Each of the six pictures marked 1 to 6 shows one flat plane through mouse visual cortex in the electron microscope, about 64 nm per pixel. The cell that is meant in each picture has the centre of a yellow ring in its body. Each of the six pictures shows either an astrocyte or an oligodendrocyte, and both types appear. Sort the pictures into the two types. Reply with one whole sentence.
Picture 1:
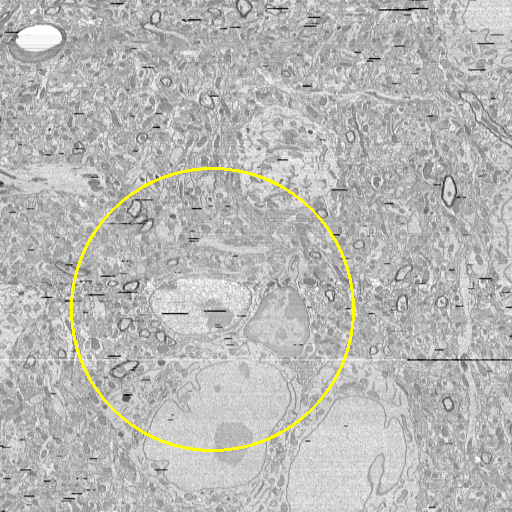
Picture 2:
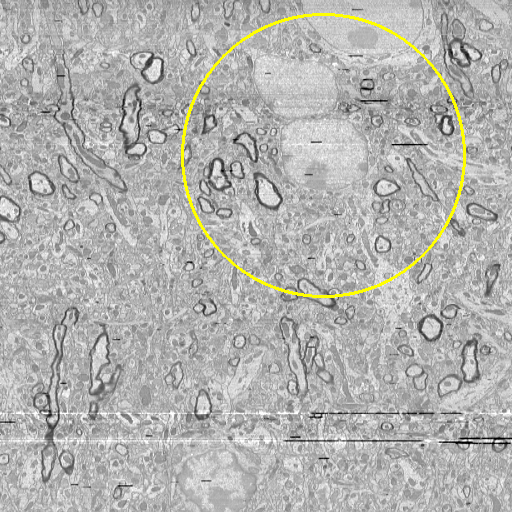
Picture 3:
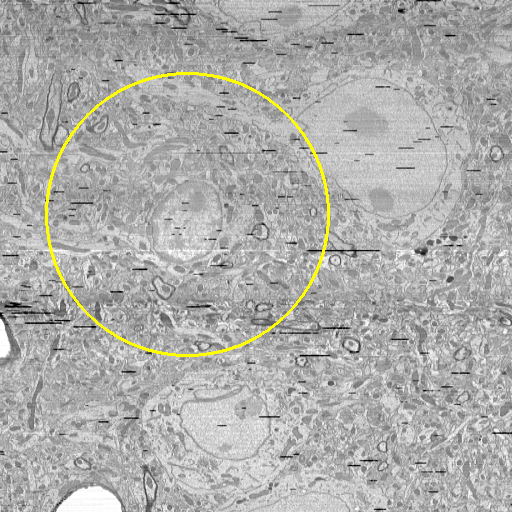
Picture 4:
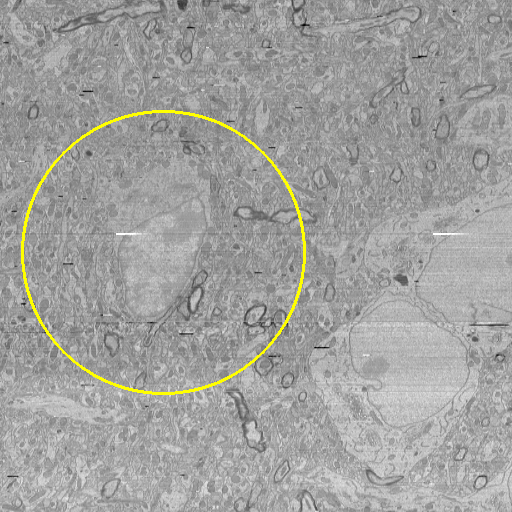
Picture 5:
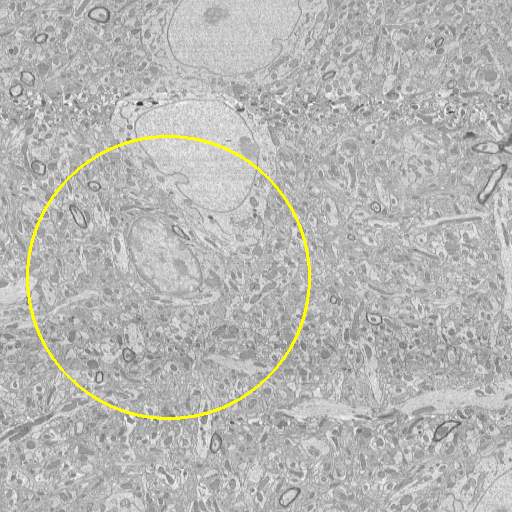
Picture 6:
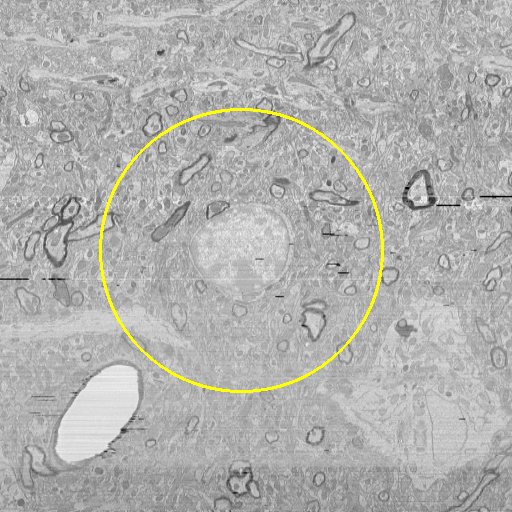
Pictures 1 and 2 show astrocytes, while pictures 3, 4, 5 and 6 show oligodendrocytes.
